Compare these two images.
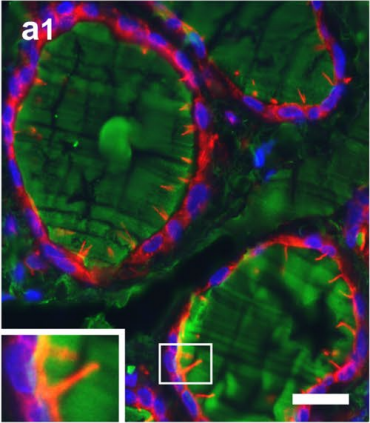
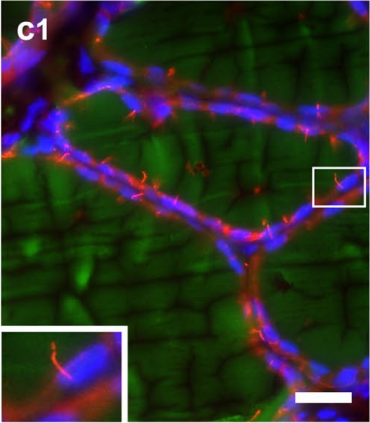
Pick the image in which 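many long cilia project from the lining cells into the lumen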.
The first image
